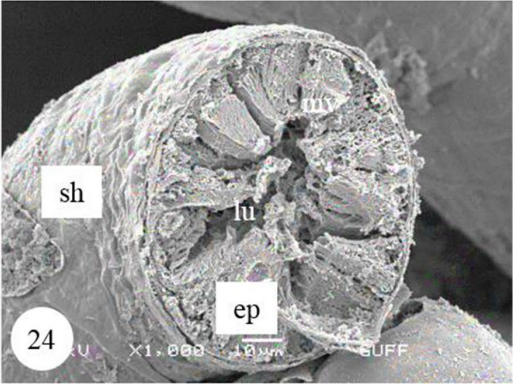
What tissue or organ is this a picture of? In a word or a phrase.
Malpighian tubule.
